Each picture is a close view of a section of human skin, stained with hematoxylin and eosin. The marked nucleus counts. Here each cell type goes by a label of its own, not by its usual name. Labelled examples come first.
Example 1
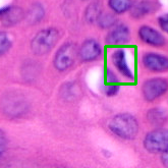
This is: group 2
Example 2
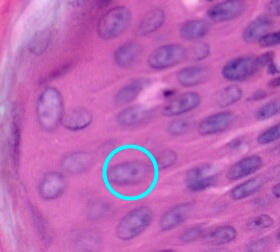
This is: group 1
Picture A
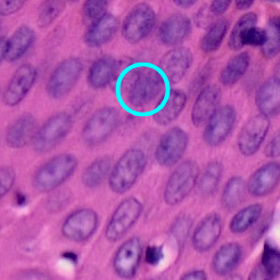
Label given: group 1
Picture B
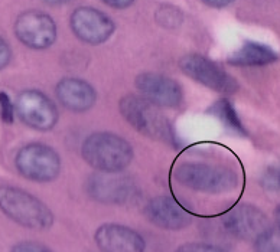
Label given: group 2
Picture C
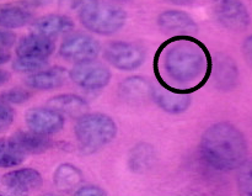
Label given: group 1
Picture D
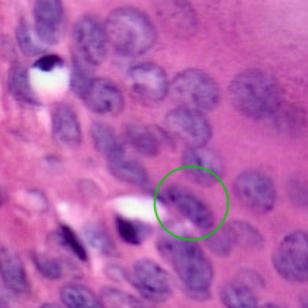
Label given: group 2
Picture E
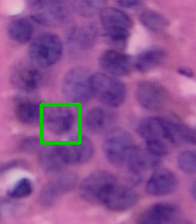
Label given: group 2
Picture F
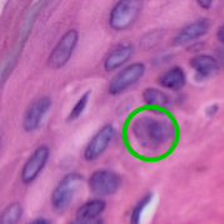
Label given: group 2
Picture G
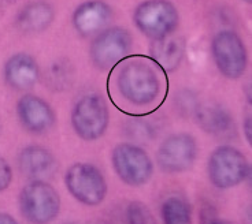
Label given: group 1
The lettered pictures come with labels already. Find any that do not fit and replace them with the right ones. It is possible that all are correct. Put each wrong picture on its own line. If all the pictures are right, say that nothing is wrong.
Every label is right.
